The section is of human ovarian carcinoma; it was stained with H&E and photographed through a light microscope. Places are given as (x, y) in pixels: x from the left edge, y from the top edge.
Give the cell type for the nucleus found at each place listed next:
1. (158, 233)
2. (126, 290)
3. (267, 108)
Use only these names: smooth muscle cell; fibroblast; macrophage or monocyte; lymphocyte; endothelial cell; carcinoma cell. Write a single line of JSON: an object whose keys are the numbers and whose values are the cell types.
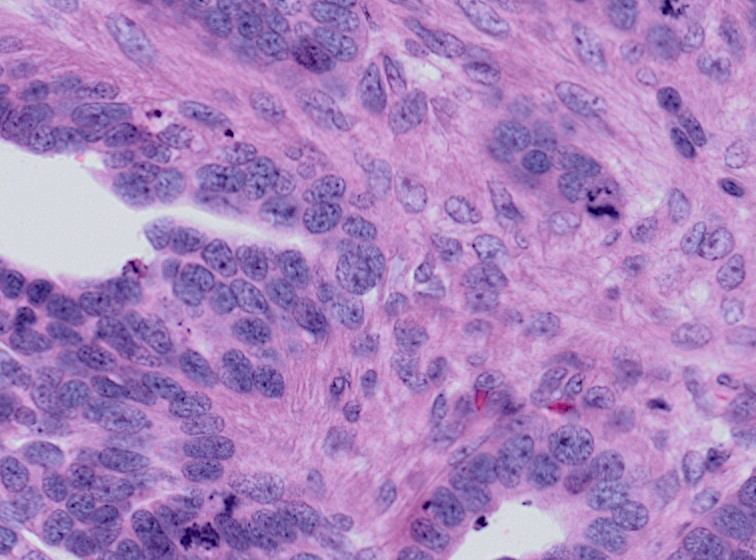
{"1": "carcinoma cell", "2": "carcinoma cell", "3": "fibroblast"}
